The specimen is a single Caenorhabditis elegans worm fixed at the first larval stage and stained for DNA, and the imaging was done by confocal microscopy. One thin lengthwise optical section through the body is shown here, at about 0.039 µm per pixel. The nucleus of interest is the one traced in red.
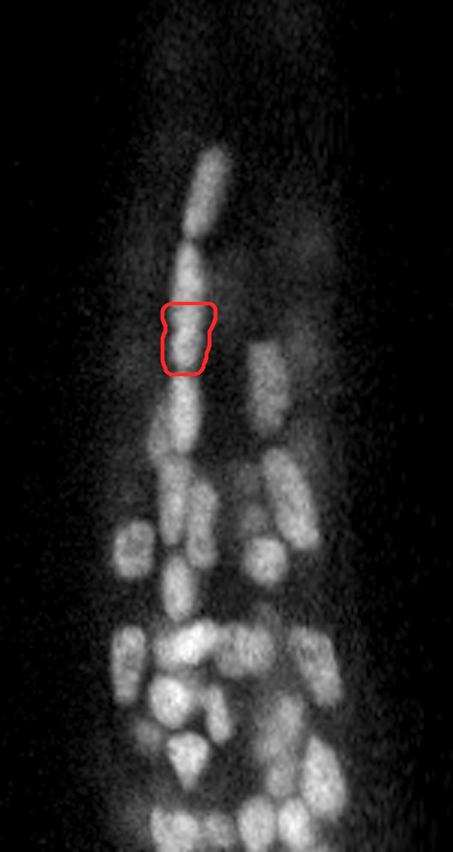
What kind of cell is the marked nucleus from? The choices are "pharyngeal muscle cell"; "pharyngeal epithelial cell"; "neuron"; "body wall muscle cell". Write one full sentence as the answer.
It is the nucleus of a pharyngeal muscle cell.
